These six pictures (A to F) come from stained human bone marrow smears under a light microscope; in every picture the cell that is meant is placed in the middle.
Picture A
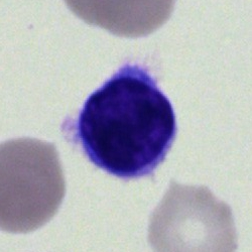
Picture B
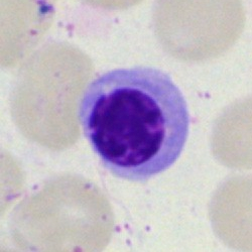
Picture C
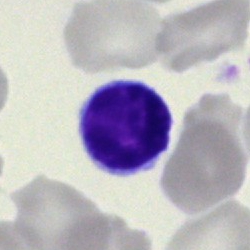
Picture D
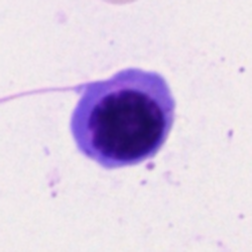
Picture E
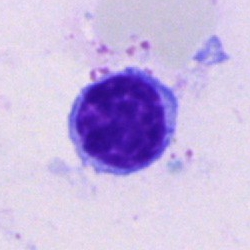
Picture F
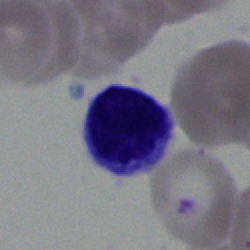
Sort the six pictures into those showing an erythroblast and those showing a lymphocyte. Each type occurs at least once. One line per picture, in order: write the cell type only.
lymphocyte
erythroblast
lymphocyte
erythroblast
lymphocyte
lymphocyte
